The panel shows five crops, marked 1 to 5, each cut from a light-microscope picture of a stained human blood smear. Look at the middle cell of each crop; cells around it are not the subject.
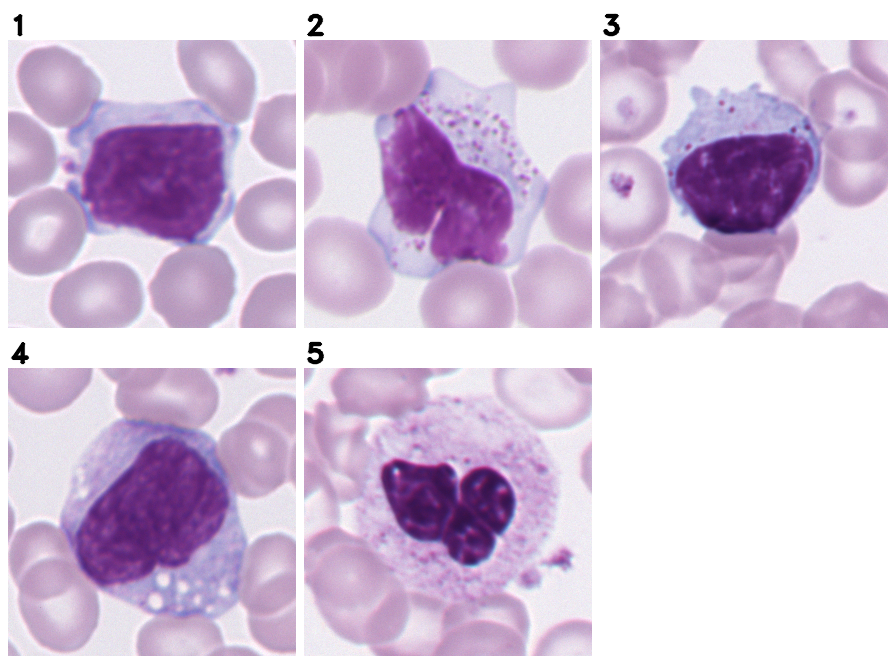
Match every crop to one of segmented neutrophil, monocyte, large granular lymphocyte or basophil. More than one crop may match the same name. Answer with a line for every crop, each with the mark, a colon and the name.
1: large granular lymphocyte
2: large granular lymphocyte
3: large granular lymphocyte
4: monocyte
5: segmented neutrophil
